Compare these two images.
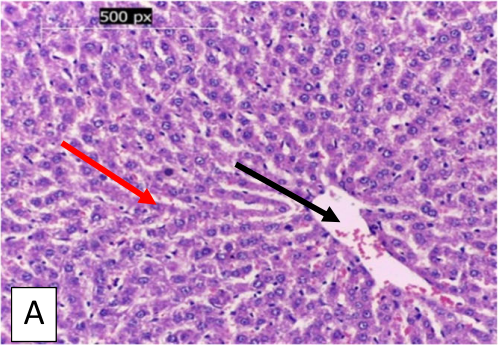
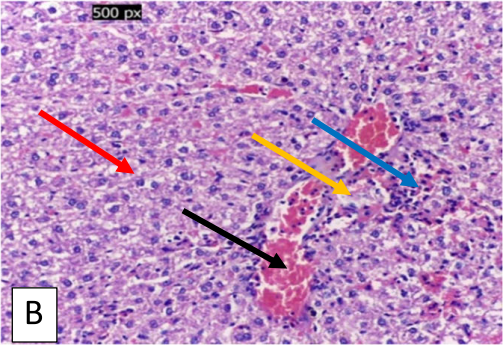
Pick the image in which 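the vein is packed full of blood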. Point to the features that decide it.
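The second image. Second image: the vessel lumen is filled solidly with red blood cells. First image: the vein lumen is mostly empty with only scattered red cells.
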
